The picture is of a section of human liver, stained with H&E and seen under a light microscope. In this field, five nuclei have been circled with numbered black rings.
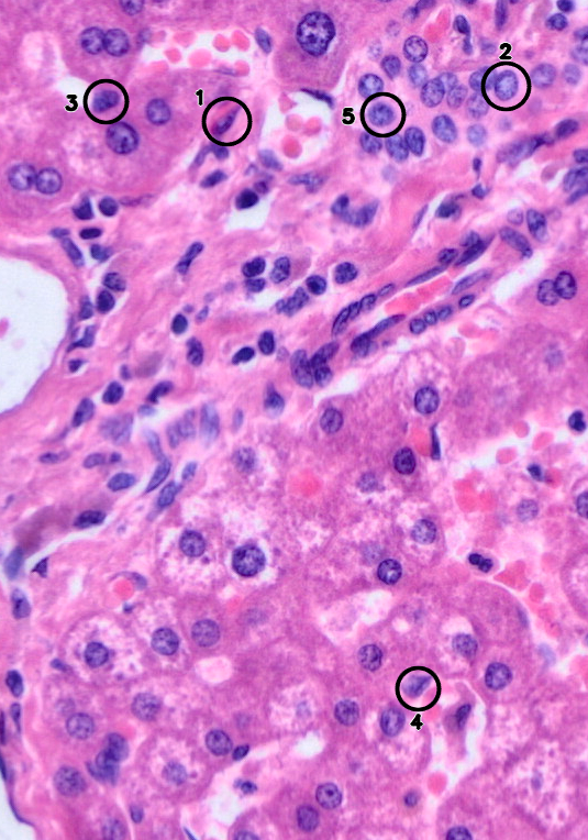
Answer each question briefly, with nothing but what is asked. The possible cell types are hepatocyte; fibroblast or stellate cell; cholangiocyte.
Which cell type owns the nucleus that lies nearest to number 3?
hepatocyte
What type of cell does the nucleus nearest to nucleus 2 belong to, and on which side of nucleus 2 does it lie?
a cholangiocyte to the left of nucleus 2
